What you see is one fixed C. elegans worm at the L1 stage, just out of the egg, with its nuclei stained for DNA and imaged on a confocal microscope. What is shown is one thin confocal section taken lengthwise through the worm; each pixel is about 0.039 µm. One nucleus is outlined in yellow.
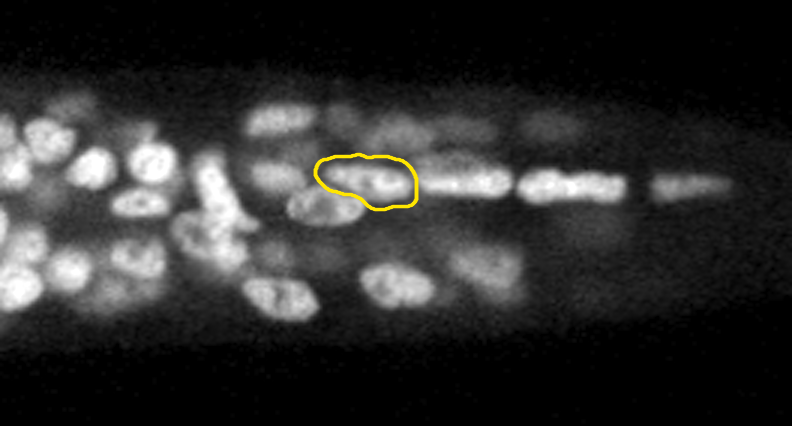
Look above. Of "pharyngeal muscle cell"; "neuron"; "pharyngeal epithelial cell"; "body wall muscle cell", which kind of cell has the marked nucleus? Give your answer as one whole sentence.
It is the nucleus of a pharyngeal epithelial cell.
